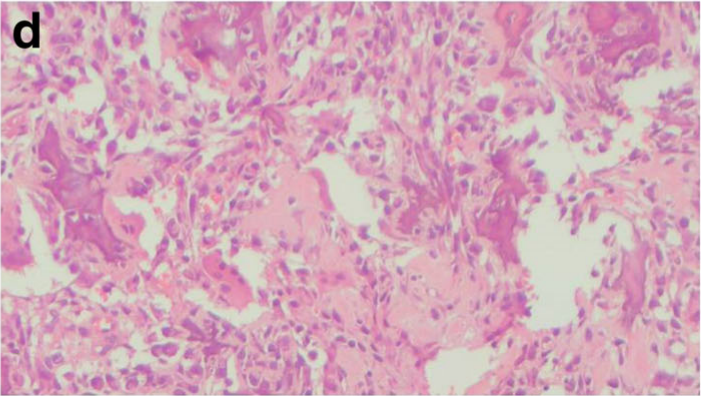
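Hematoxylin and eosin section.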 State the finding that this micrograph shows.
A: osteoid deposition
